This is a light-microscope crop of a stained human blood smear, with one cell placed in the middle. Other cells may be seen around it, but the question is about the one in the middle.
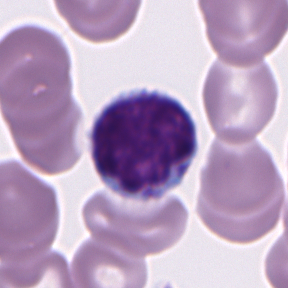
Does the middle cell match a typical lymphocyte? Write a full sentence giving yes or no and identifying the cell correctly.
Yes, the cell in the exact middle is a typical lymphocyte.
